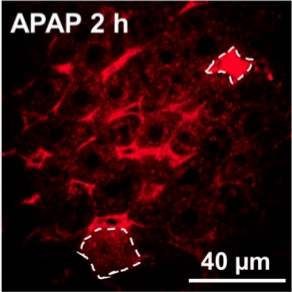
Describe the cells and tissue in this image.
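The field shows liver tissue with hepatocytes arranged as a sheet of polygonal cells. Bright red fills narrow, branching channels that run between the cells. Most cells are dark inside, with rounded dark centres.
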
